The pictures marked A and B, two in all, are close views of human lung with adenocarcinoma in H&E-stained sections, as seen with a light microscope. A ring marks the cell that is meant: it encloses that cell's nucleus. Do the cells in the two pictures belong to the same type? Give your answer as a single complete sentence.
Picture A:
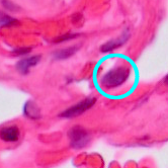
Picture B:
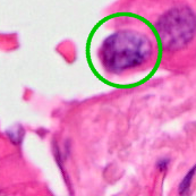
No, the types are not the same, since picture A shows a type I pneumocyte and picture B a carcinoma cell.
